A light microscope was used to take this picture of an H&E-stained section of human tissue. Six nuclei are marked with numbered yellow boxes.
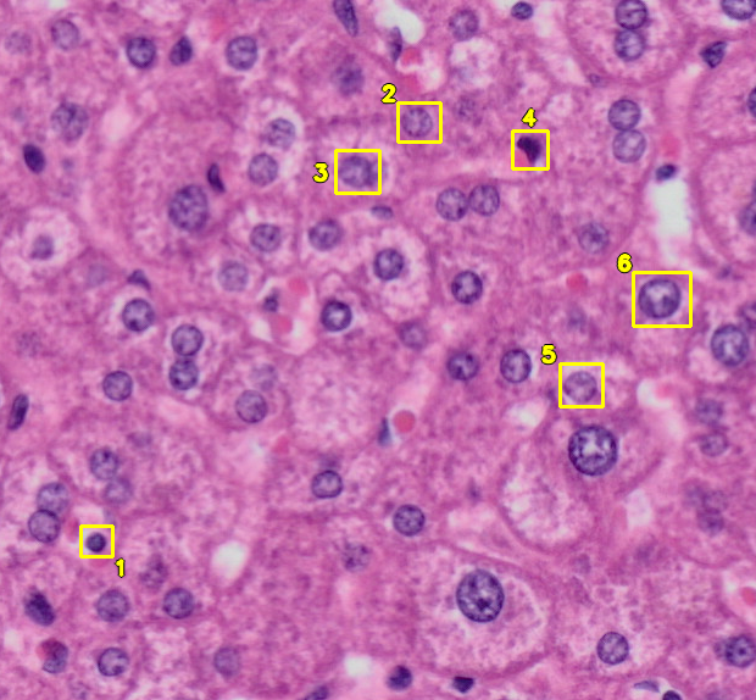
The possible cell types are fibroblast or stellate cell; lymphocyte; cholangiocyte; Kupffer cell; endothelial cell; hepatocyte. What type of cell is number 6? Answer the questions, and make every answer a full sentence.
Numbered cell 6 is a hepatocyte in this tissue section.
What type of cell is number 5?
Cell 5, among those numbered, is a hepatocyte.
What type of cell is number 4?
Here, the cell given the number 4 is an endothelial cell.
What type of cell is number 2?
The cell whose nucleus carries the number 2 is a hepatocyte.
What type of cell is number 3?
The cell referred to as 3 is a hepatocyte.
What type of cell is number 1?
The cell numbered 1 has been identified as a lymphocyte.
